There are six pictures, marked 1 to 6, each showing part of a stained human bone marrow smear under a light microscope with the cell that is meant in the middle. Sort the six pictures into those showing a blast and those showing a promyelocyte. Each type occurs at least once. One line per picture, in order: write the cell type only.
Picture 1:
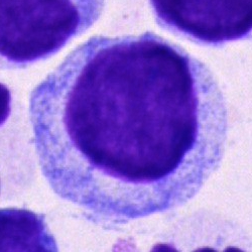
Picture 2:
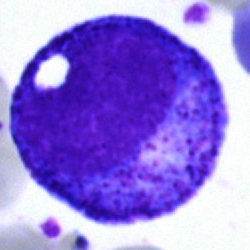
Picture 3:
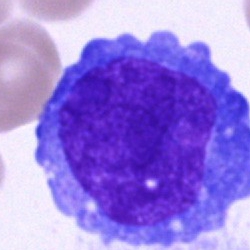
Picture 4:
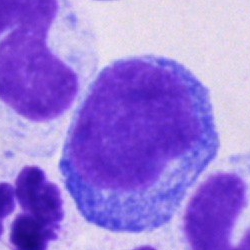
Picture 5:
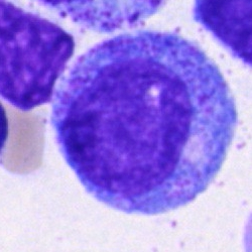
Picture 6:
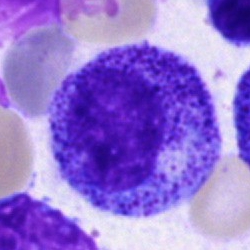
promyelocyte
promyelocyte
blast
blast
promyelocyte
promyelocyte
